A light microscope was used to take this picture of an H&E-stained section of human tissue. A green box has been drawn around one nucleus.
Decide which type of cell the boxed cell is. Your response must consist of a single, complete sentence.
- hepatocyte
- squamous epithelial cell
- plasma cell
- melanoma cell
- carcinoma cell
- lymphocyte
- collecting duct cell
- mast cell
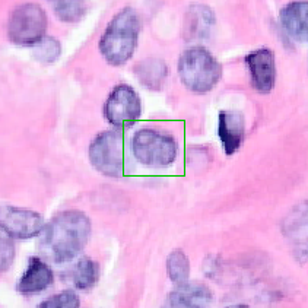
Typologically, the boxed cell is a carcinoma cell in this section.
